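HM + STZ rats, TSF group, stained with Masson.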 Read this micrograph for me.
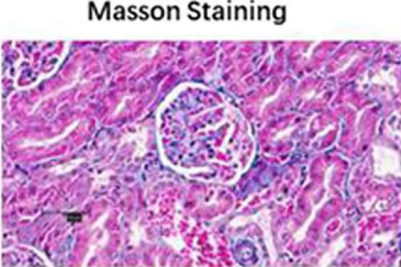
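This is renal cortex, and a glomerulus lies near the centre: a rounded tuft of capillary loops crowded with small, dark, purple-blue nuclei. A thin capsule surrounds it, separated from the tuft by a narrow pale space. All around it are cross- and oblique sections of tubules. Their lining cells have plentiful pink-red cytoplasm and round dark nuclei, and each tubule encloses a small lumen. Fine blue-stained fibres outline the capsule and run between some of the tubules. Near the bottom of the field, a cluster of small red blood cells fills a vessel or the interstitium.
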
